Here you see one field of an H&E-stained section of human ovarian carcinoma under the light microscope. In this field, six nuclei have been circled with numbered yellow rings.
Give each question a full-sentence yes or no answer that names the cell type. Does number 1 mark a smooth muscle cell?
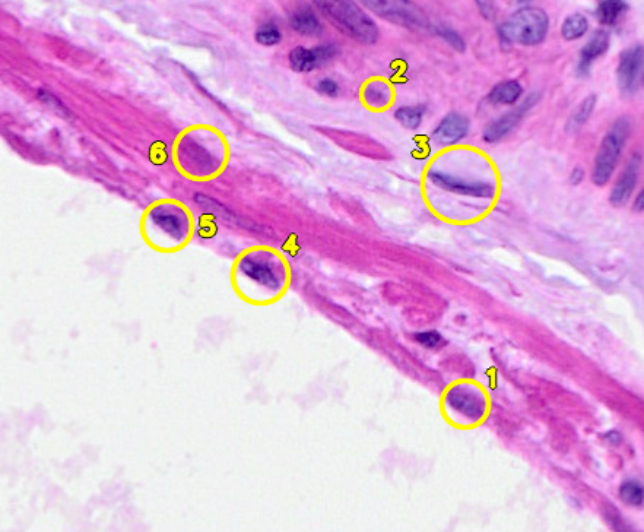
No, rather than a smooth muscle cell, cell number 1 is an endothelial cell.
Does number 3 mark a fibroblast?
Yes, in this tissue section, number 3 is a fibroblast.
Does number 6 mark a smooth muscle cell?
Yes, the cell that the number 6 labels is a smooth muscle cell.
